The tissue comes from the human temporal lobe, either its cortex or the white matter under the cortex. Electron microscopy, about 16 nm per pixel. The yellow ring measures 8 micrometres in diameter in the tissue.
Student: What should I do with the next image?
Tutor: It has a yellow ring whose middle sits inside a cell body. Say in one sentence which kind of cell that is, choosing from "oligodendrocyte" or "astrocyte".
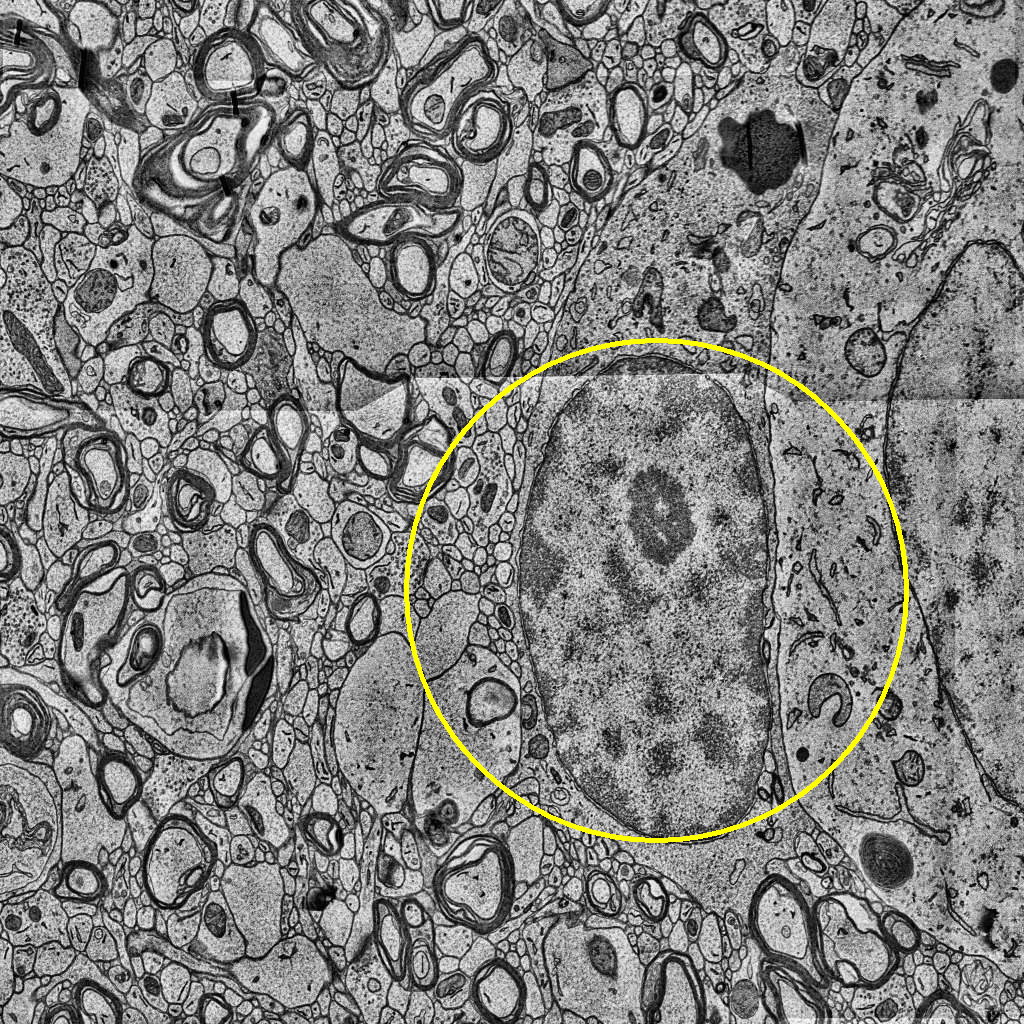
The ring's centre is occupied by an oligodendrocyte.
